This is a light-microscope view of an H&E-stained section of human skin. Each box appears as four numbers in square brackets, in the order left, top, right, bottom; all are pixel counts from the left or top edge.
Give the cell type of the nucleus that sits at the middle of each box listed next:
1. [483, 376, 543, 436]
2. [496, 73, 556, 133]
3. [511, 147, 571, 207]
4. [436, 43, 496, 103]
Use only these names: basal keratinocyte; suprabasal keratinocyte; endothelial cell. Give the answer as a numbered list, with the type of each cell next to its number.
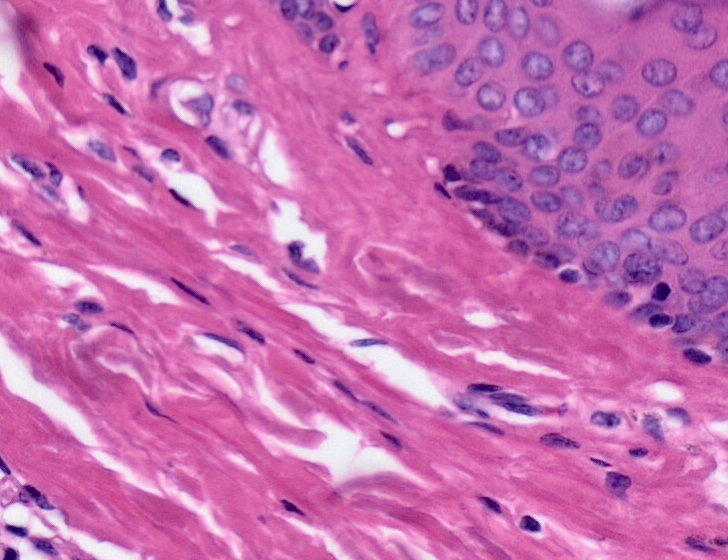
1. endothelial cell
2. suprabasal keratinocyte
3. suprabasal keratinocyte
4. suprabasal keratinocyte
